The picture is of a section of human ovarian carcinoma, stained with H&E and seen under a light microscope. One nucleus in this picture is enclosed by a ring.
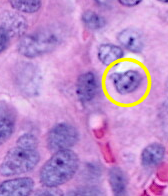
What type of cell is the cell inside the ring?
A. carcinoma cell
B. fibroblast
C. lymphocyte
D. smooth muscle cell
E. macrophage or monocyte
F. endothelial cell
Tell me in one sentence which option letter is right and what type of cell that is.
The correct option here, E, identifies the cell inside the ring as a macrophage or monocyte.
